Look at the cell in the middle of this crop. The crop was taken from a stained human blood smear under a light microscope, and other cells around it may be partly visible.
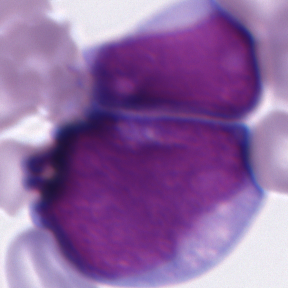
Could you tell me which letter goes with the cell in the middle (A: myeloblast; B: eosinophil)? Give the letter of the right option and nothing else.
A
